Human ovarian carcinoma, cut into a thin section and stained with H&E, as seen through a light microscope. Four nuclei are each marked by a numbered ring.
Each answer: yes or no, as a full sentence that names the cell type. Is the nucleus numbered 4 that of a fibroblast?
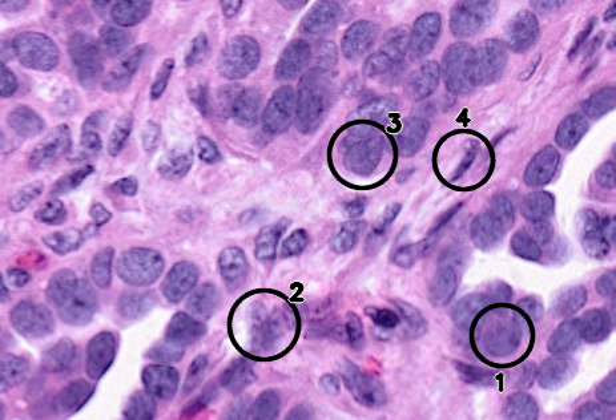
Yes, the cell sitting at number 4 is a fibroblast.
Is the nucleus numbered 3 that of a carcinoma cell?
Yes, cell 3 among the marked cells is a carcinoma cell.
